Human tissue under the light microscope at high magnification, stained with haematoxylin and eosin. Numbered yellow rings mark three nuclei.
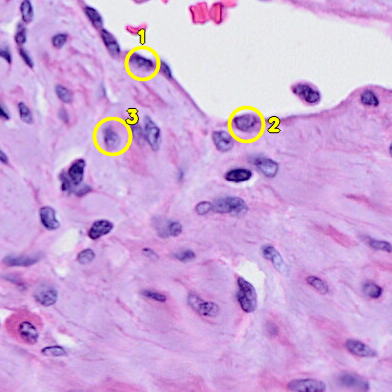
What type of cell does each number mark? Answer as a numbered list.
1. endothelial cell
2. endothelial cell
3. smooth muscle cell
